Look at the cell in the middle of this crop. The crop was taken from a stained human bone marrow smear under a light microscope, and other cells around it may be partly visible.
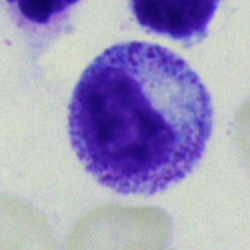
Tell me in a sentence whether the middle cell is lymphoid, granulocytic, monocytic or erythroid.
Under the granulocytic lineage falls the cell in the middle of the crop.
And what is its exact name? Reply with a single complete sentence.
The cell the crop is centered on is a myelocyte.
